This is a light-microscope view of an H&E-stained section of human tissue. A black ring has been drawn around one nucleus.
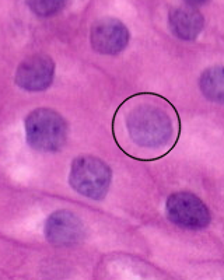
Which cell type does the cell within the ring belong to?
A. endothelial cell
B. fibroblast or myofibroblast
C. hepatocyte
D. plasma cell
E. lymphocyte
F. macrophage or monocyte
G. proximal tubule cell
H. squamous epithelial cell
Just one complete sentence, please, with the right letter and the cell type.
Option H is correct; the cell within the ring is a squamous epithelial cell.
